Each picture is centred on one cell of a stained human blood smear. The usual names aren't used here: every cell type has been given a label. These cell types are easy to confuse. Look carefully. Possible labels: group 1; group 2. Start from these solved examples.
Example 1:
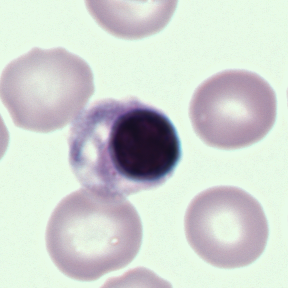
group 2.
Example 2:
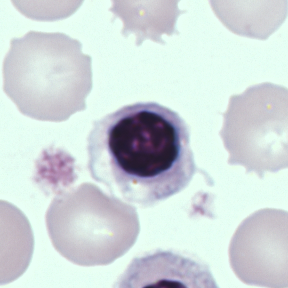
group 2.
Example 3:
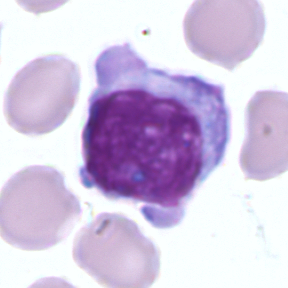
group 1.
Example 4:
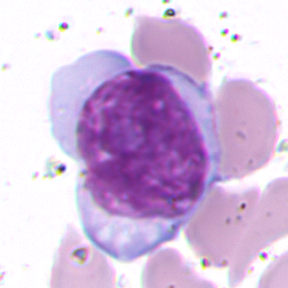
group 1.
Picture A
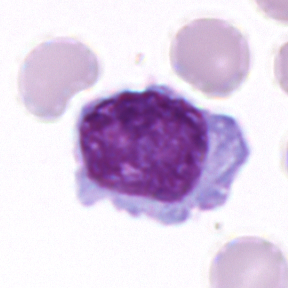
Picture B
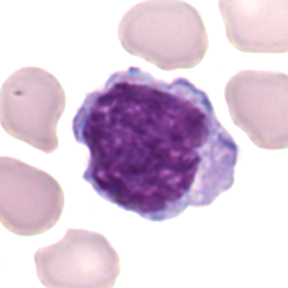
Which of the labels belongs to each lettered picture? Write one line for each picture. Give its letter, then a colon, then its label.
A: group 1.
B: group 1.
